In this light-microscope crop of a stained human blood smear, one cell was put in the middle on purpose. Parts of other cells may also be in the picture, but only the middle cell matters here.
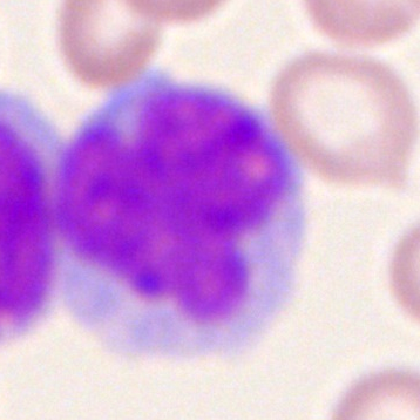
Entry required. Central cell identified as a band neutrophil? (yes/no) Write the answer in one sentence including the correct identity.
No; rather than a band neutrophil, the cell at the center is a monocyte.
